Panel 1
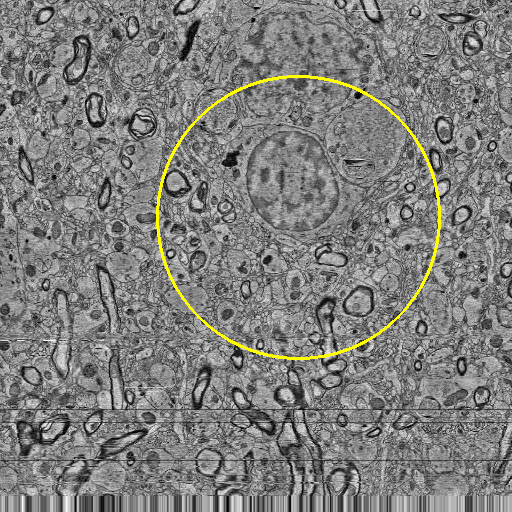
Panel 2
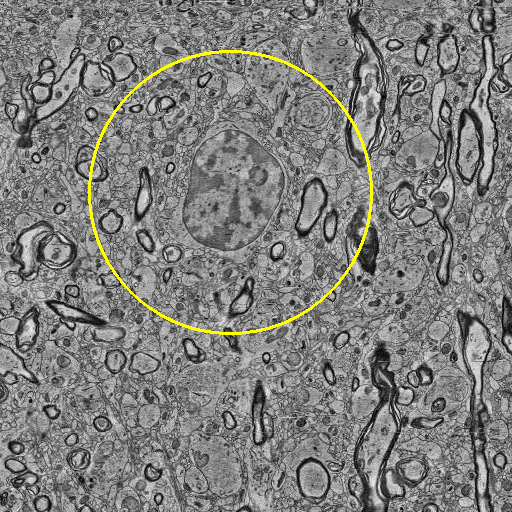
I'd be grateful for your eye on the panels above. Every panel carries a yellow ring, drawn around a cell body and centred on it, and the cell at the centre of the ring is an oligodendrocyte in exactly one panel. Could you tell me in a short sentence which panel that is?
Panel 1 is the one with it at the centre of the ring.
